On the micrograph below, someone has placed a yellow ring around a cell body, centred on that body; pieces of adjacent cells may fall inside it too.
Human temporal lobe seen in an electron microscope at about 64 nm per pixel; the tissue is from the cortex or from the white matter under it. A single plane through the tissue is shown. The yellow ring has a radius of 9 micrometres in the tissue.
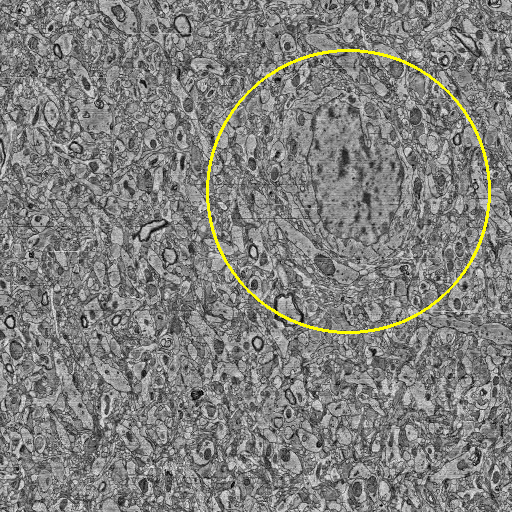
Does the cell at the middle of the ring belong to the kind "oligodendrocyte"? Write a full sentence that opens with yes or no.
No, the micrograph shows another kind of cell at the ring's centre.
